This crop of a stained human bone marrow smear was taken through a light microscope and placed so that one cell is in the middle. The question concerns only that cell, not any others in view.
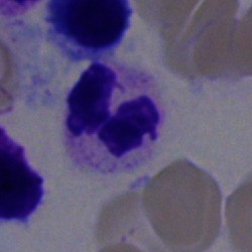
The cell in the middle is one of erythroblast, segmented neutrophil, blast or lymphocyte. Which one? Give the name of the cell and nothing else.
segmented neutrophil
